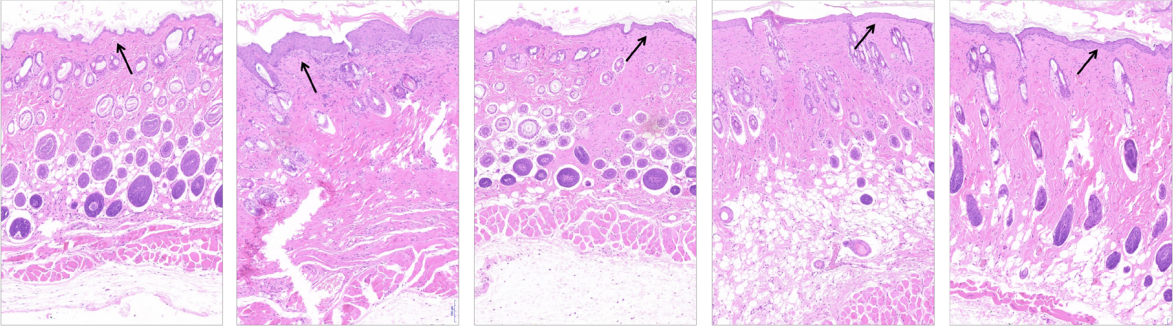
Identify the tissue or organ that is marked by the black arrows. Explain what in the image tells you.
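Epidermis. Below that layer lies a pink connective tissue layer containing round hair follicles.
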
